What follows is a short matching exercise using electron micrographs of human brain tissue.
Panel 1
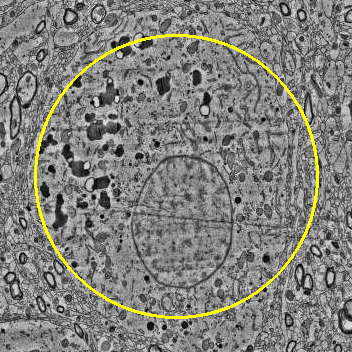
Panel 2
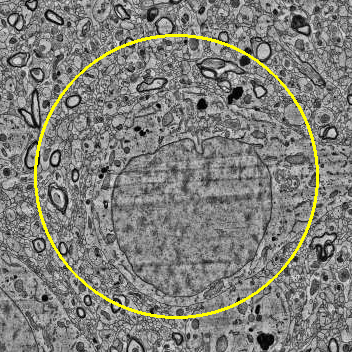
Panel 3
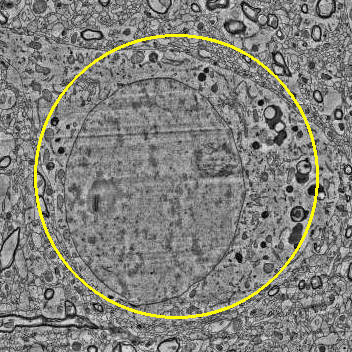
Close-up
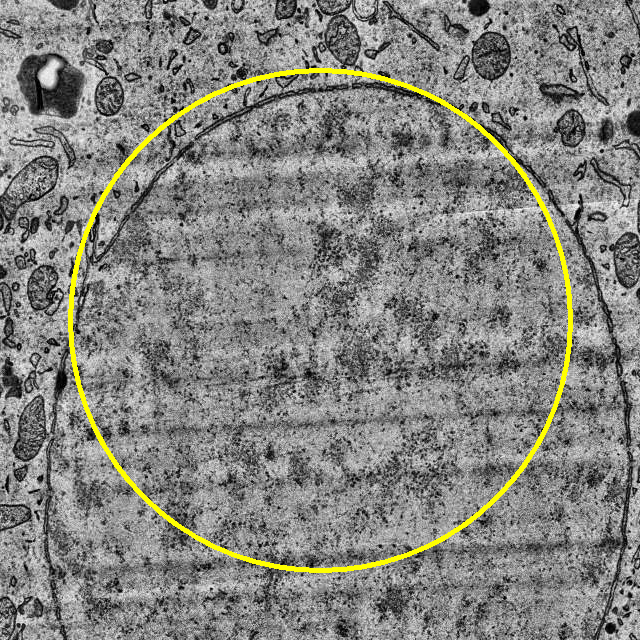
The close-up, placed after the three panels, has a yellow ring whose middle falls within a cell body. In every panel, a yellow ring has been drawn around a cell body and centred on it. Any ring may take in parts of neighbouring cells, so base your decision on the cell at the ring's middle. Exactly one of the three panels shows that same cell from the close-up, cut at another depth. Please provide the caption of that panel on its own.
Panel 1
